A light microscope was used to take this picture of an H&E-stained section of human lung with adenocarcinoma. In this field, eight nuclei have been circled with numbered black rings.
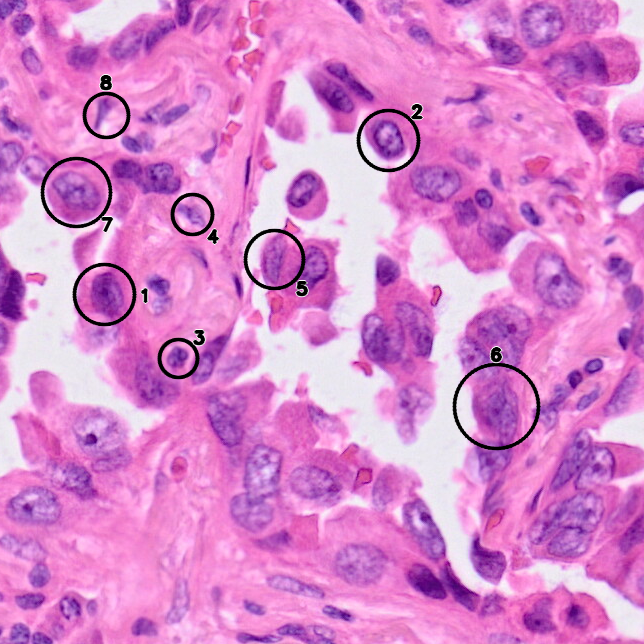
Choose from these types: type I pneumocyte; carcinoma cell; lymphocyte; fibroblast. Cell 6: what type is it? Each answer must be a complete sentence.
The cell referred to as 6 is a carcinoma cell.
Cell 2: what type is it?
The marked cell with the number 2 is recognised as a carcinoma cell.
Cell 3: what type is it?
The cell indicated with the number 3 is classed as a lymphocyte.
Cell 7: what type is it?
Among the marked cells, number 7 is a carcinoma cell.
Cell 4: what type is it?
Cell 4 is classified as a fibroblast.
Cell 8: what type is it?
The marked cell bearing number 8 is a fibroblast.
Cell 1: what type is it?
The marked cell with the number 1 is recognised as a carcinoma cell.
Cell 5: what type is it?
The cell numbered 5 represents a carcinoma cell.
